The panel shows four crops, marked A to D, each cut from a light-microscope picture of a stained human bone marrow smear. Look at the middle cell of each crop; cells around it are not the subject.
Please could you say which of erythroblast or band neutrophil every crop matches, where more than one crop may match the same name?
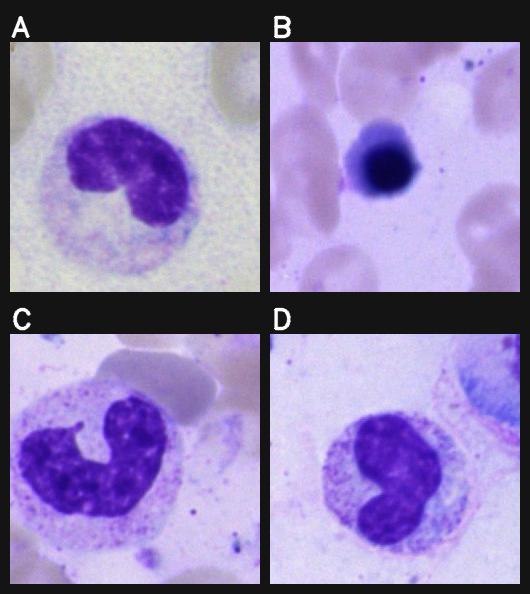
A: band neutrophil
B: erythroblast
C: band neutrophil
D: band neutrophil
